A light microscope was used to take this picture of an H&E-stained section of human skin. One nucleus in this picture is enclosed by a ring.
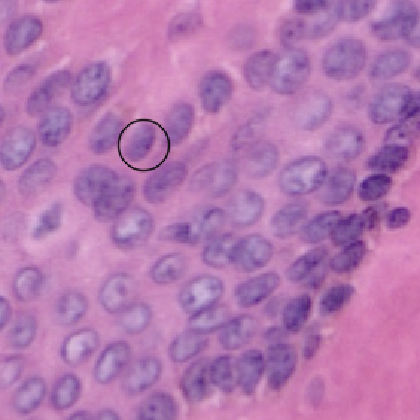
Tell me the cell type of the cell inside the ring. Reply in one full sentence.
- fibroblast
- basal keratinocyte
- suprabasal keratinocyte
At the level of cell identity, the cell inside the ring is a basal keratinocyte.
